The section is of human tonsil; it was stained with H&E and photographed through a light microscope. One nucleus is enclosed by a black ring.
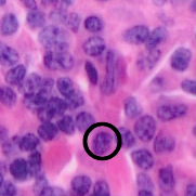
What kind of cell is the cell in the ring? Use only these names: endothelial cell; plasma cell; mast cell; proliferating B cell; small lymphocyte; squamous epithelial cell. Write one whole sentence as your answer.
On this particular slide, the cell in the ring is a plasma cell.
